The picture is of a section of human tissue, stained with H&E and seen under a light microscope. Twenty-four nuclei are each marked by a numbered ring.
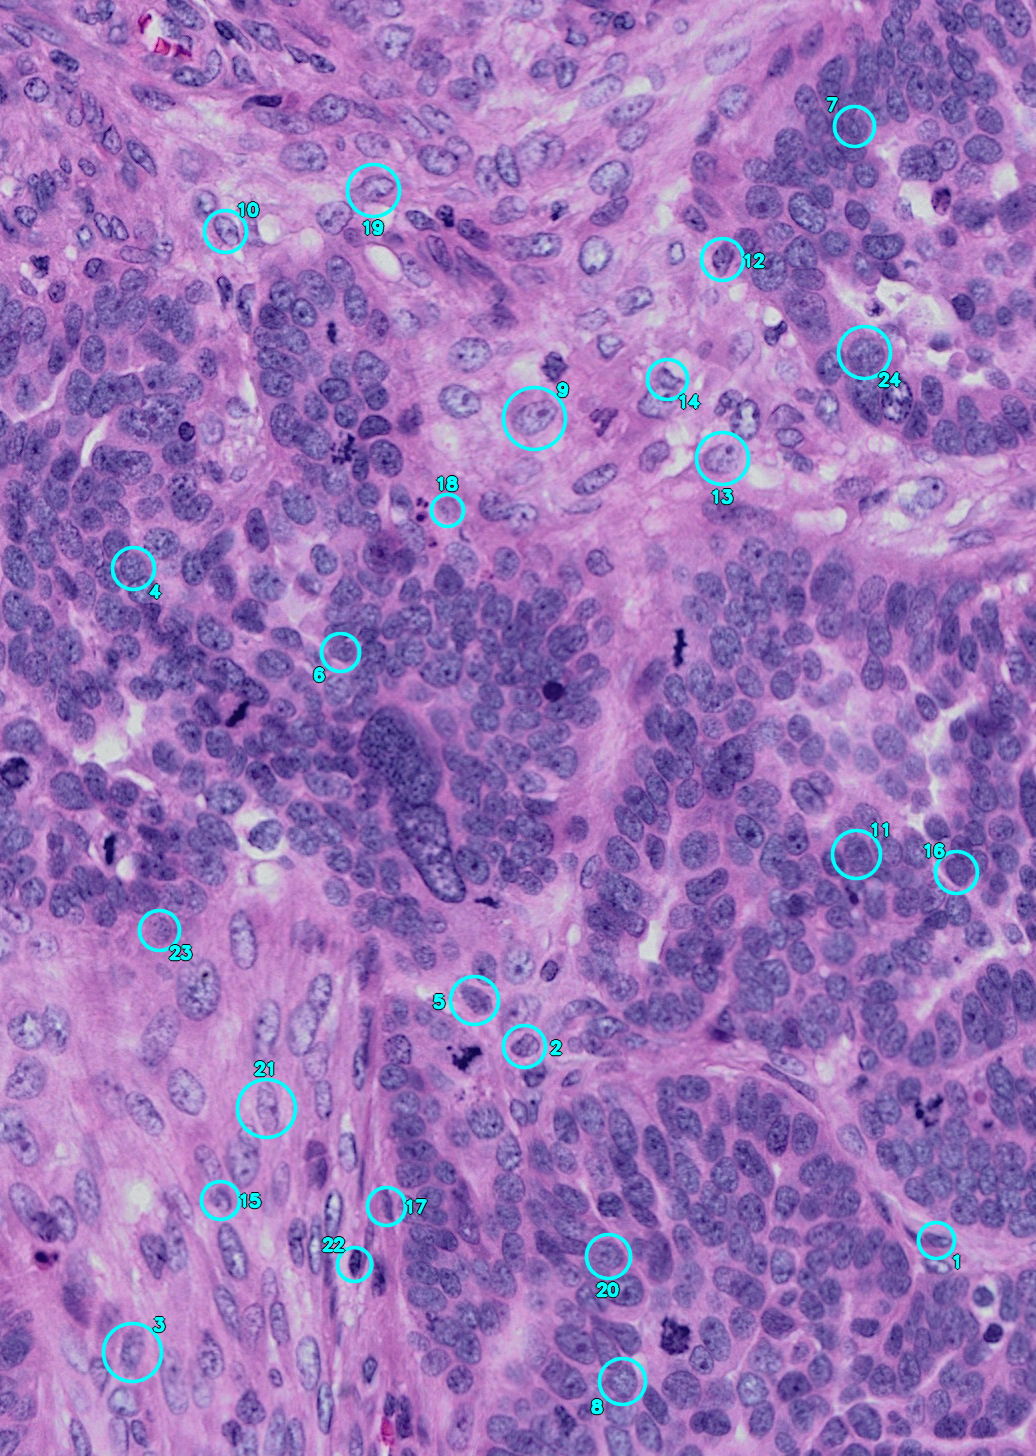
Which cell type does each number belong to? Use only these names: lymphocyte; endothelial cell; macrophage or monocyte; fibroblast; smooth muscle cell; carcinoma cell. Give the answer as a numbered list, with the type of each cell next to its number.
1. fibroblast
2. macrophage or monocyte
3. fibroblast
4. carcinoma cell
5. macrophage or monocyte
6. carcinoma cell
7. carcinoma cell
8. carcinoma cell
9. fibroblast
10. fibroblast
11. carcinoma cell
12. macrophage or monocyte
13. fibroblast
14. fibroblast
15. fibroblast
16. carcinoma cell
17. fibroblast
18. fibroblast
19. fibroblast
20. carcinoma cell
21. fibroblast
22. lymphocyte
23. fibroblast
24. carcinoma cell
